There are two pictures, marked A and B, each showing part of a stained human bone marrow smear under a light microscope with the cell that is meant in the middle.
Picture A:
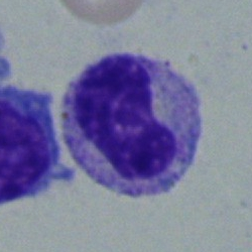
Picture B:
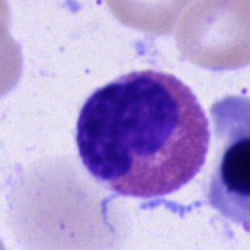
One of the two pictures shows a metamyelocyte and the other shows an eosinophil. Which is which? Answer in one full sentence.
It is picture A that shows a metamyelocyte, and picture B that shows an eosinophil.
